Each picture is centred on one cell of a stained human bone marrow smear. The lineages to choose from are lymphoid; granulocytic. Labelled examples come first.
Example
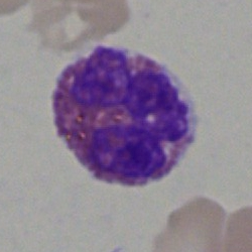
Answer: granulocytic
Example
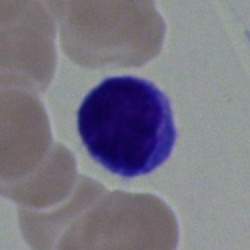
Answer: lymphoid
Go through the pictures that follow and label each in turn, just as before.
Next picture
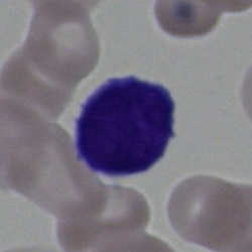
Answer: lymphoid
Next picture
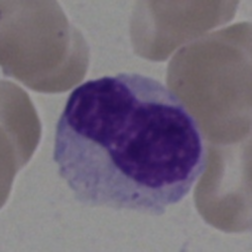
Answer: granulocytic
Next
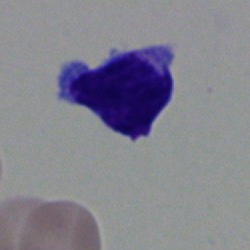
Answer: lymphoid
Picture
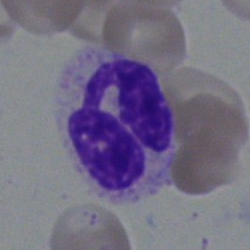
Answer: granulocytic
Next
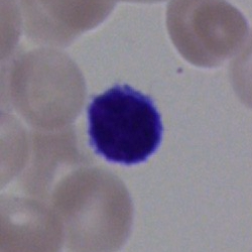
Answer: lymphoid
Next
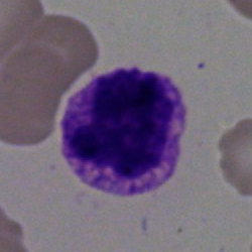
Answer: granulocytic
